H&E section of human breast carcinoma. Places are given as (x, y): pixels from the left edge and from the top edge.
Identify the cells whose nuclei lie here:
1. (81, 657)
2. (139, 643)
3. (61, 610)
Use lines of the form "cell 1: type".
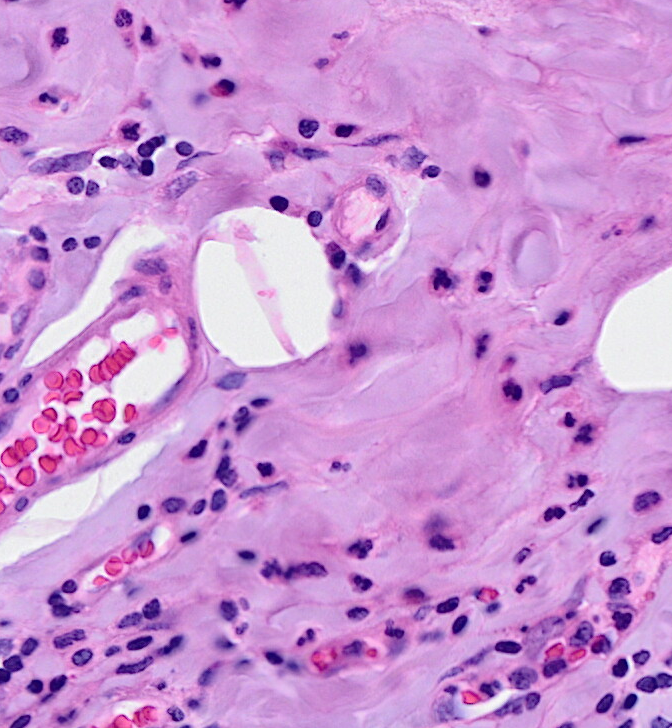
cell 1: mast cell
cell 2: lymphocyte
cell 3: lymphocyte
